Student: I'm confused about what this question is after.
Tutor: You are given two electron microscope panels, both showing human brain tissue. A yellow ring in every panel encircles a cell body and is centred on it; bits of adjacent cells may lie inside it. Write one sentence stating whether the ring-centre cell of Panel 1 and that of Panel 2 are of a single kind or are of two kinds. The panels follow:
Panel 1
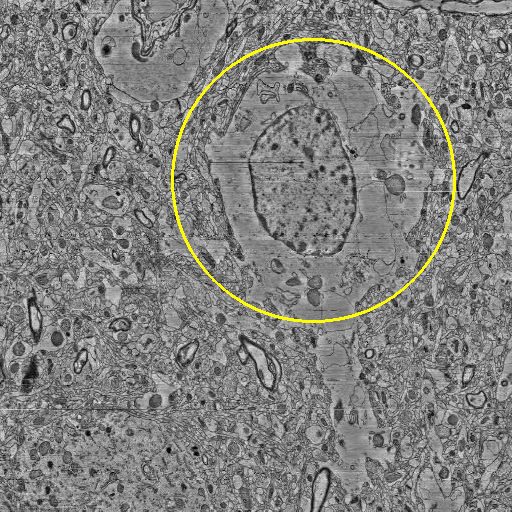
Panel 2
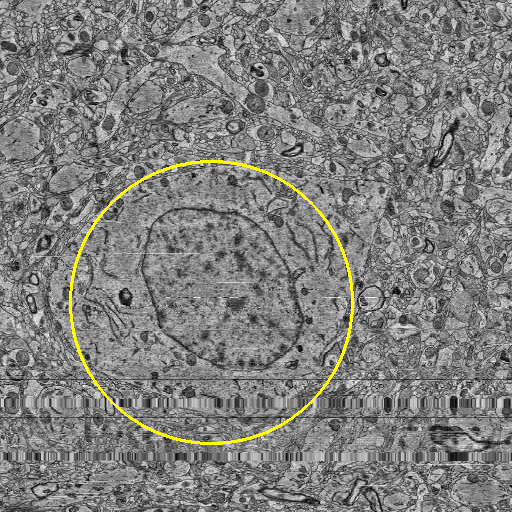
Here, the Panel 1 ring-centre cell and the Panel 2 ring-centre cell are of two kinds.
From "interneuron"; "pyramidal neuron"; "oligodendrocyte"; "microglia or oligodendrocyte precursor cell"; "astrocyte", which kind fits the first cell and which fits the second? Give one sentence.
The cell marked in the first picture is an astrocyte, and the one marked in the second is a pyramidal neuron.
